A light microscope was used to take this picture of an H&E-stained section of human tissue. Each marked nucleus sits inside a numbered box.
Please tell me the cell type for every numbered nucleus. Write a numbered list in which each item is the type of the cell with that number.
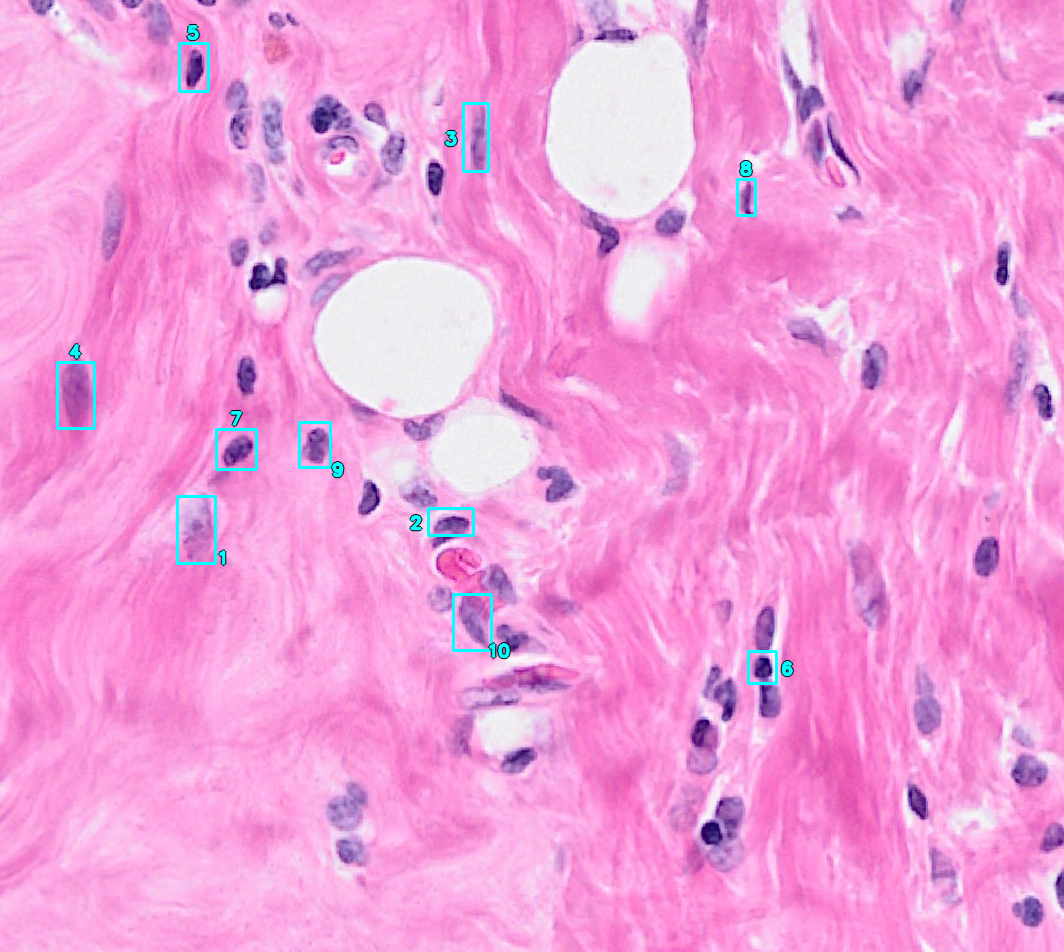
1. fibroblast
2. endothelial cell
3. fibroblast
4. fibroblast
5. lymphocyte
6. lymphocyte
7. lymphocyte
8. fibroblast
9. lymphocyte
10. endothelial cell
